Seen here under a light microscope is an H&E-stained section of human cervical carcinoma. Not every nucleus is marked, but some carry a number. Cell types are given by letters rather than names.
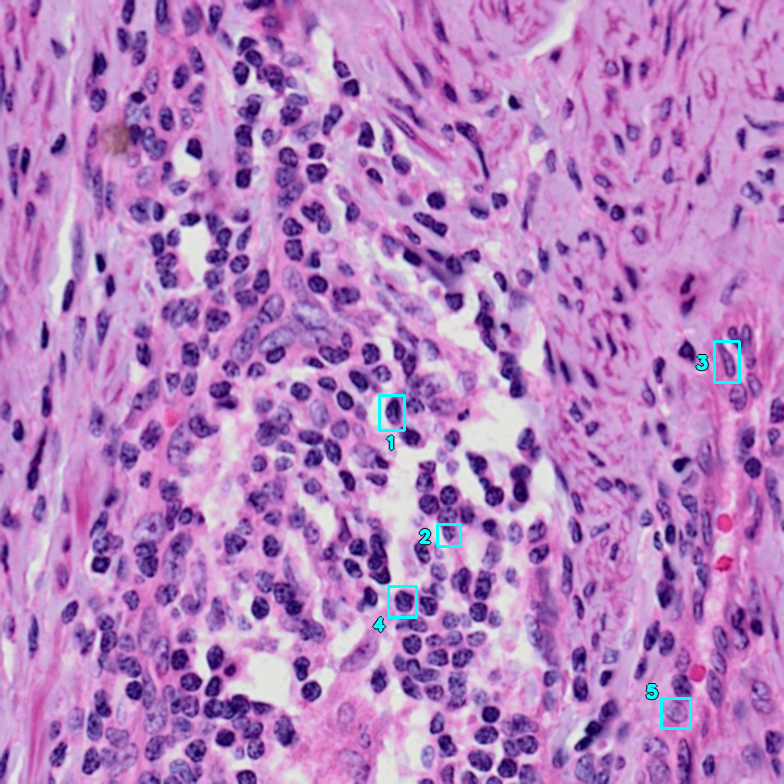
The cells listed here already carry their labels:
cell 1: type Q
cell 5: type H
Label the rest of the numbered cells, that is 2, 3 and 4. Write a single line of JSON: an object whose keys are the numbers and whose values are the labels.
{"2": "type Q", "3": "type H", "4": "type Q"}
